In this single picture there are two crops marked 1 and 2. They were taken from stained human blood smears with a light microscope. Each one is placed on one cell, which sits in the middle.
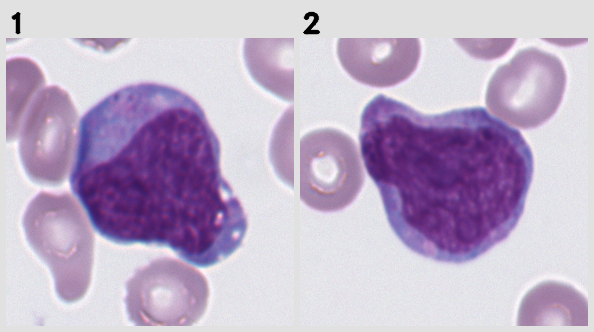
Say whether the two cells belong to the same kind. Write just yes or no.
yes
